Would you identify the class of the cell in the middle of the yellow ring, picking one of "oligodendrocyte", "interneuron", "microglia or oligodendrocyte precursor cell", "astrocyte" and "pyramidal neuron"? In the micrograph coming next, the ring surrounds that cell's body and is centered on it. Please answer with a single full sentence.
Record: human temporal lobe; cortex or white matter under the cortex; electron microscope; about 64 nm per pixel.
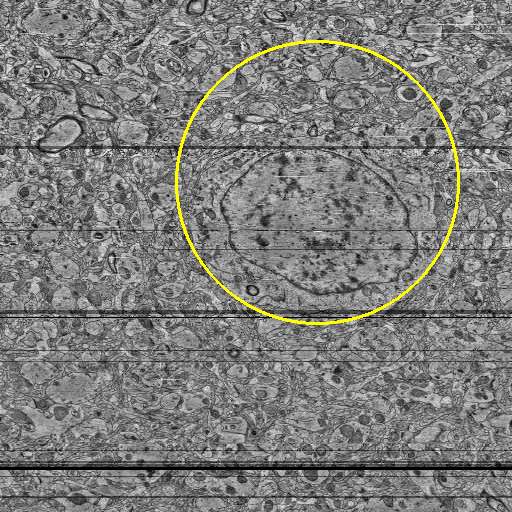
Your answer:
In the micrograph, it is a pyramidal neuron whose body lies at the ring's center.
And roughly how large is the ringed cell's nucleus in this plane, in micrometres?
About 13 micrometres by about 9 micrometres in this plane.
